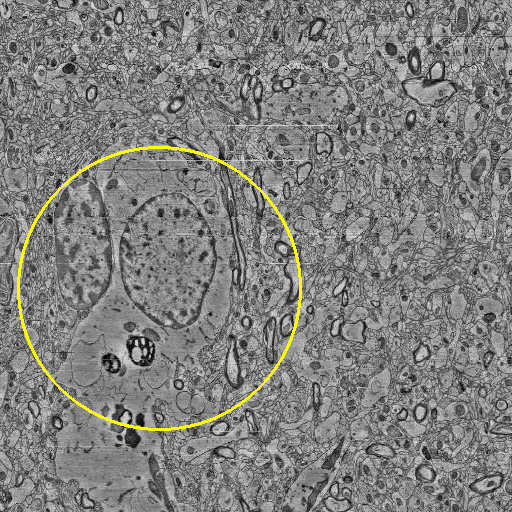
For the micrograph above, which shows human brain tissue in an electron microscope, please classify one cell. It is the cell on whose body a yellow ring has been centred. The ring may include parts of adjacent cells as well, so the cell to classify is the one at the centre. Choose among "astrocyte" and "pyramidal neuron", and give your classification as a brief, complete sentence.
I classify this cell as an astrocyte.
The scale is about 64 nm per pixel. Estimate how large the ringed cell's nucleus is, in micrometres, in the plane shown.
Approximately 9 micrometres long and 6 micrometres wide, in this plane.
